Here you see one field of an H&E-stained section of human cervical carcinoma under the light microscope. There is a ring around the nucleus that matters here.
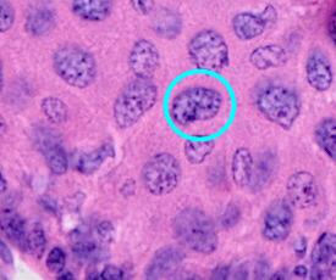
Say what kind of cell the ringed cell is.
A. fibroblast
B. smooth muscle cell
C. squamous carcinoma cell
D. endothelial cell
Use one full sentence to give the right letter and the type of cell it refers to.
Option C is correct in that the ringed cell is a squamous carcinoma cell.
